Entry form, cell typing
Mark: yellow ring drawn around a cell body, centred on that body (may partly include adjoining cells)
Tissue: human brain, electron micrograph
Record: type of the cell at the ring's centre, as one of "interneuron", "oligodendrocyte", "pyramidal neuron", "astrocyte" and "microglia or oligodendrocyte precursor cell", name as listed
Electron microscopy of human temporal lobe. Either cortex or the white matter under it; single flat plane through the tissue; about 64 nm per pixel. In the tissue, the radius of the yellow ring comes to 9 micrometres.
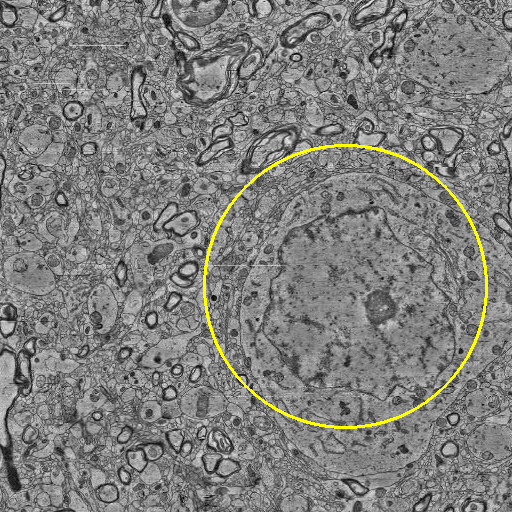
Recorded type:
interneuron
